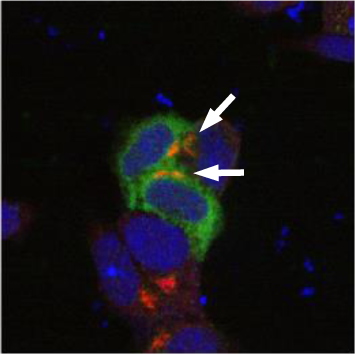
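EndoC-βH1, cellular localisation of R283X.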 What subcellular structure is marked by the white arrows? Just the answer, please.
Golgi apparatus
